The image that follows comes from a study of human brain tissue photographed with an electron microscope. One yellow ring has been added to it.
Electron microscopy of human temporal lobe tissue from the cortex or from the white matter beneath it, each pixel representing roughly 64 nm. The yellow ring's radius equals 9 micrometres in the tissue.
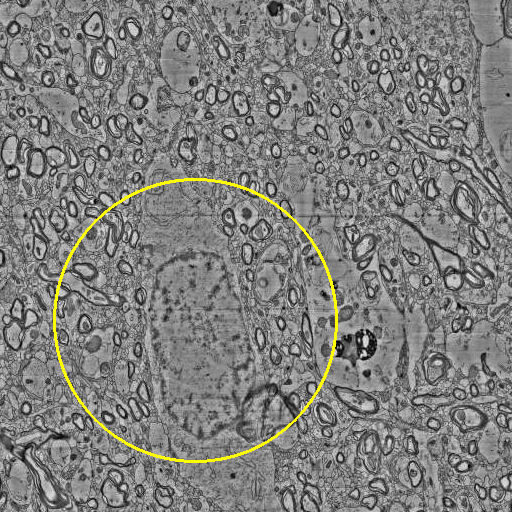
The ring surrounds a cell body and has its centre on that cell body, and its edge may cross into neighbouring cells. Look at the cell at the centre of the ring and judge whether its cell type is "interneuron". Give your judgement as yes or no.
yes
